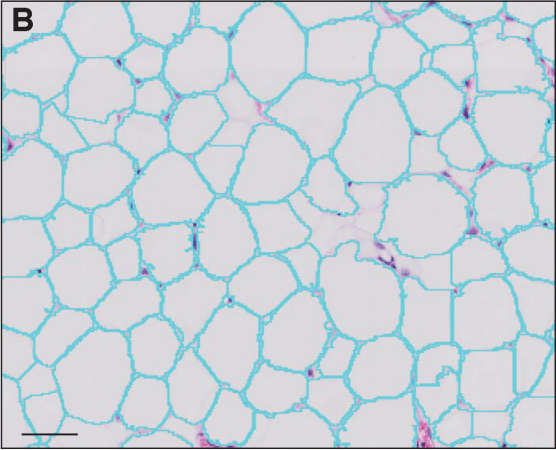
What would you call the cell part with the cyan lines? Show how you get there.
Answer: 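Cyan lines trace the thin borders around each large empty cell. The outlined cells are large polygonal vacuole-like profiles.
Answer: adipocyte ghost membrane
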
